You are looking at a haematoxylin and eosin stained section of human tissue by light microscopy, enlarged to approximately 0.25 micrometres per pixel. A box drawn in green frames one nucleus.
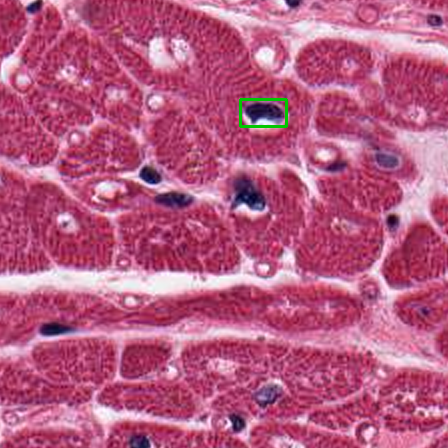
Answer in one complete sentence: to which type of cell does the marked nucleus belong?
Here it is a cardiomyocyte that the marked nucleus belongs to.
